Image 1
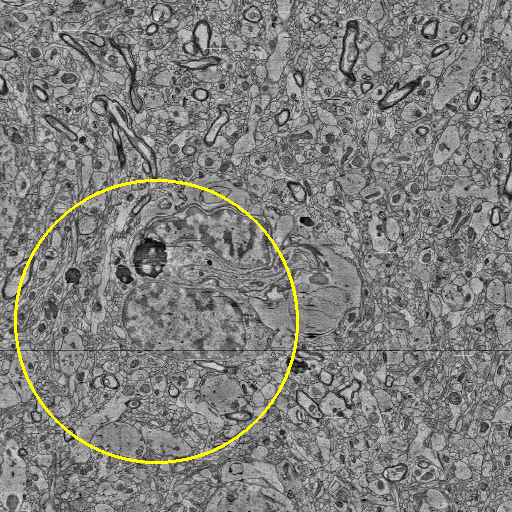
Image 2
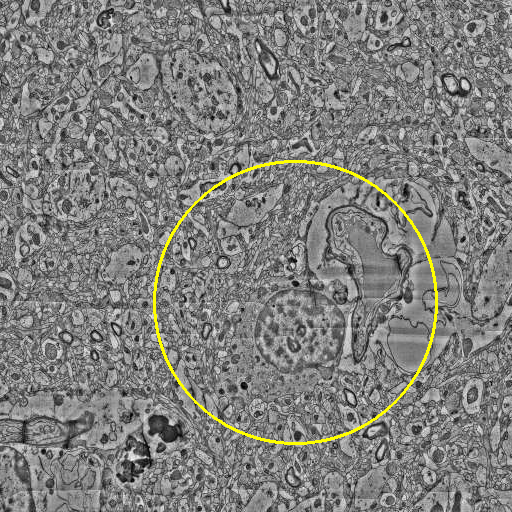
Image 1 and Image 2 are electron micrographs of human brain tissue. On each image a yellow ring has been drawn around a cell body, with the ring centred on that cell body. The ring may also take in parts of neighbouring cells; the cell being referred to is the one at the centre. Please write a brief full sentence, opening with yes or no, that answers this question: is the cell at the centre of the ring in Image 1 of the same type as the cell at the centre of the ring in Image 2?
Yes, both cells are of the same type.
